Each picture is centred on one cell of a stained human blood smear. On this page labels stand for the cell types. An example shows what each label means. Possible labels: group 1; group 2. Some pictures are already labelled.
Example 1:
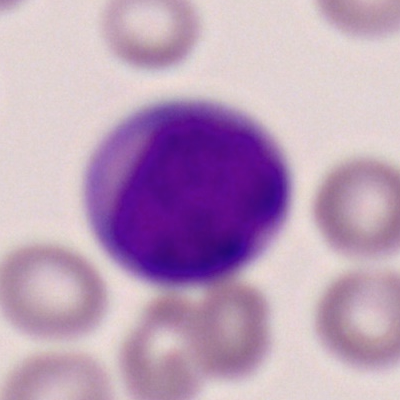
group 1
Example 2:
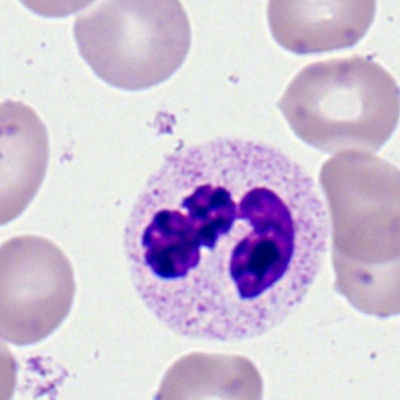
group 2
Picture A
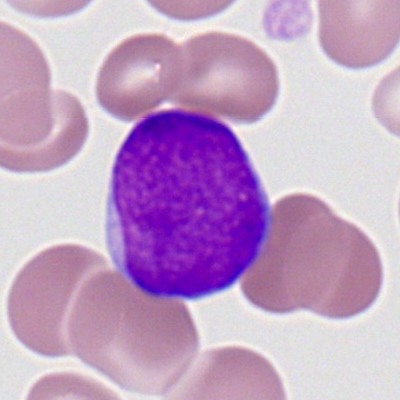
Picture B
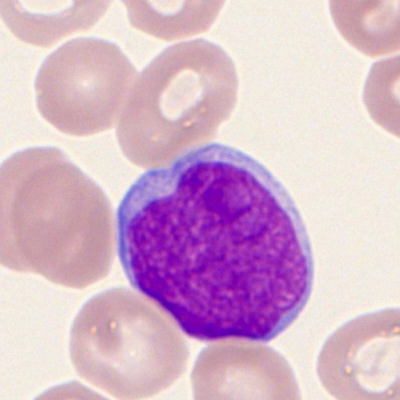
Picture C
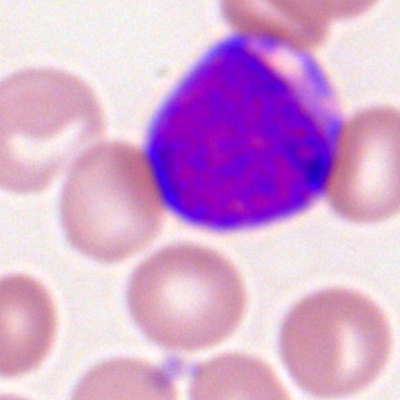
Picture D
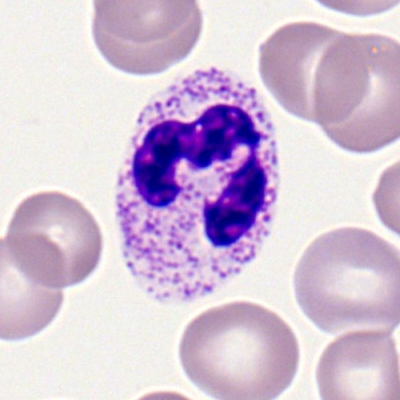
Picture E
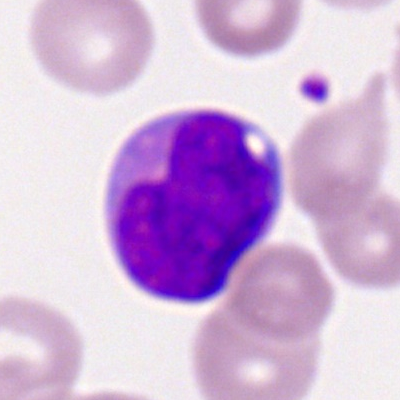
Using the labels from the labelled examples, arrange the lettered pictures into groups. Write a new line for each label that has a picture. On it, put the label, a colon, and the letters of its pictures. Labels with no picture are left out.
group 1: A, B, C, E
group 2: D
